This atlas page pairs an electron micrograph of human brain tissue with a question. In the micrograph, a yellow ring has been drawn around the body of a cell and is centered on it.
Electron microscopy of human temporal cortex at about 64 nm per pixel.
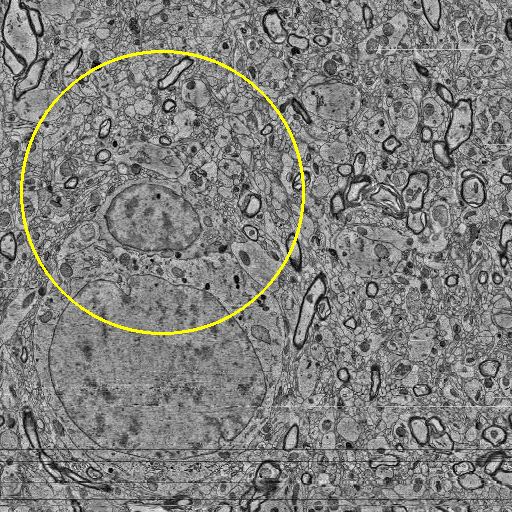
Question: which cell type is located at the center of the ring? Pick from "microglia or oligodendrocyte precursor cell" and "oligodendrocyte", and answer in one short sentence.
Located at the center of the ring is an oligodendrocyte.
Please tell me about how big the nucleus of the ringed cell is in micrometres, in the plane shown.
Approximately 6 x 5 micrometres in this plane.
